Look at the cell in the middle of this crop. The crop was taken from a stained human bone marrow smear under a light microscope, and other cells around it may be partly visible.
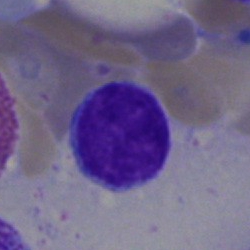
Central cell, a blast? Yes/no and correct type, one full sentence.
No, the cell placed in the centre is a lymphocyte and is not a blast.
